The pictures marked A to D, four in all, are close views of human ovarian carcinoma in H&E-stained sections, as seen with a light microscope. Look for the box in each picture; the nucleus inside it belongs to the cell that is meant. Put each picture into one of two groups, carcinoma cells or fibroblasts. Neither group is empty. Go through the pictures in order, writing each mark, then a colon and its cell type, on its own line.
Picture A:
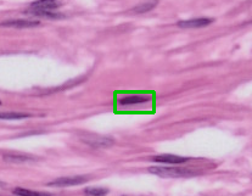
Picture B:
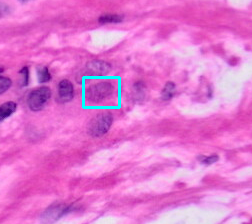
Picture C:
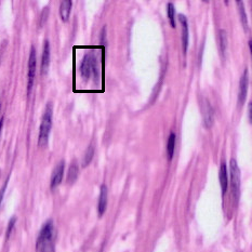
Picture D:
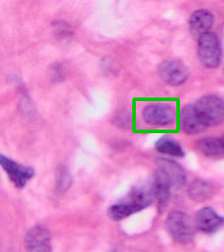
A: fibroblast
B: carcinoma cell
C: fibroblast
D: carcinoma cell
